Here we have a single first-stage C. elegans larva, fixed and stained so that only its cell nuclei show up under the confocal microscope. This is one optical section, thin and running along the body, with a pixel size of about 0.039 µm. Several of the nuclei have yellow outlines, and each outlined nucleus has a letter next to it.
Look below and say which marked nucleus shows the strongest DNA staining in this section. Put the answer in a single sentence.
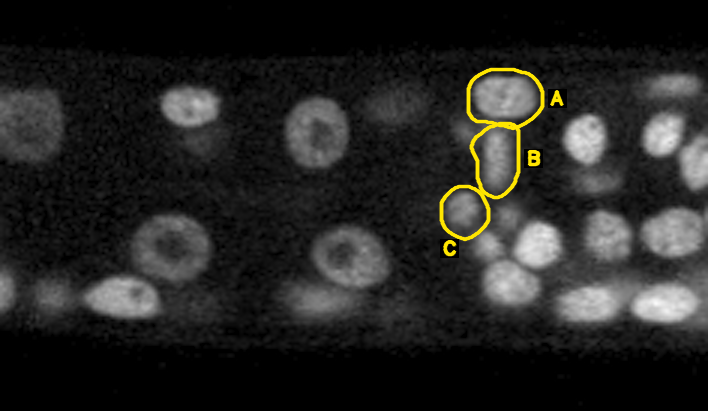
A is stained most strongly in this section.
